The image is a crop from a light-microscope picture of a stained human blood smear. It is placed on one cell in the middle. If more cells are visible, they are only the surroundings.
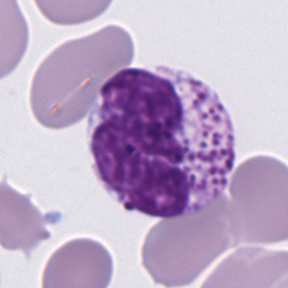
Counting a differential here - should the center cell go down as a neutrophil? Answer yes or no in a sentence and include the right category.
No, the middle cell is classified as a basophil and not as a neutrophil.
